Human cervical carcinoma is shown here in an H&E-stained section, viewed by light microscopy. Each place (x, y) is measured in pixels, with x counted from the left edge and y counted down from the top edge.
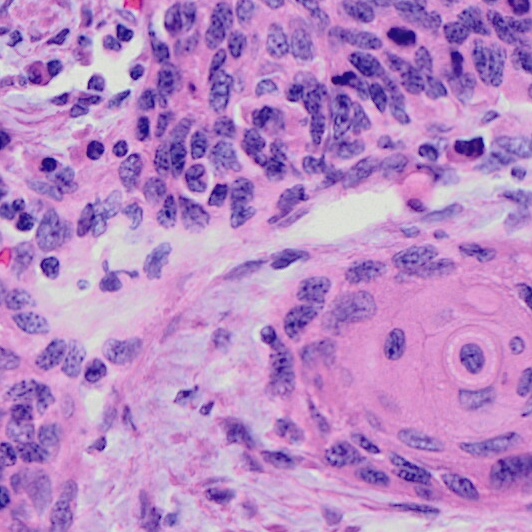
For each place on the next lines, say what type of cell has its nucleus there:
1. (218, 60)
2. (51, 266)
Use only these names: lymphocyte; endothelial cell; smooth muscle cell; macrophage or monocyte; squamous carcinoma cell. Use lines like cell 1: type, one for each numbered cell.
cell 1: squamous carcinoma cell
cell 2: lymphocyte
